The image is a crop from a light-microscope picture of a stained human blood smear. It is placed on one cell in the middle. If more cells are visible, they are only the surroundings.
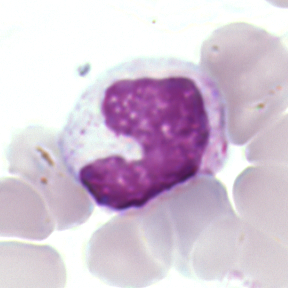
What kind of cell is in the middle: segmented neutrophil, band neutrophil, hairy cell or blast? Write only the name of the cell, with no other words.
band neutrophil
